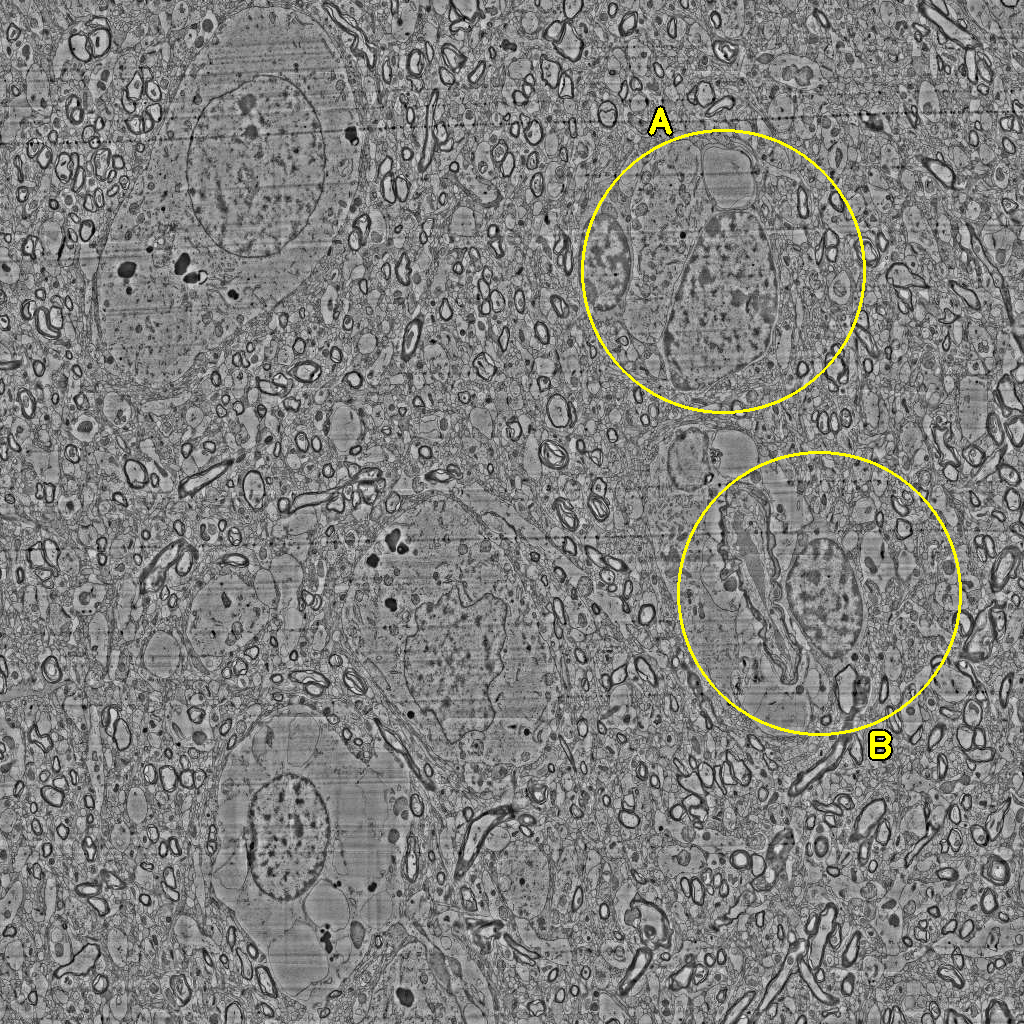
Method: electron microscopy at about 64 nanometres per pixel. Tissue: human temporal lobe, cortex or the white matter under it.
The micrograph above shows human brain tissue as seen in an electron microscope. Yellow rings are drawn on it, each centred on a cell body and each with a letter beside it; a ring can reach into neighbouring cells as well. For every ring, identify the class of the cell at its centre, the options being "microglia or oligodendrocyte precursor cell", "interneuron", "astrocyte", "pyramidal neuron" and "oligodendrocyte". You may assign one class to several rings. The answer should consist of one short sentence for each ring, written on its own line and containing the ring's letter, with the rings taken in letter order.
The ring lettered A is centred on a microglial cell or oligodendrocyte precursor cell.
The ring lettered B is centred on an oligodendrocyte.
